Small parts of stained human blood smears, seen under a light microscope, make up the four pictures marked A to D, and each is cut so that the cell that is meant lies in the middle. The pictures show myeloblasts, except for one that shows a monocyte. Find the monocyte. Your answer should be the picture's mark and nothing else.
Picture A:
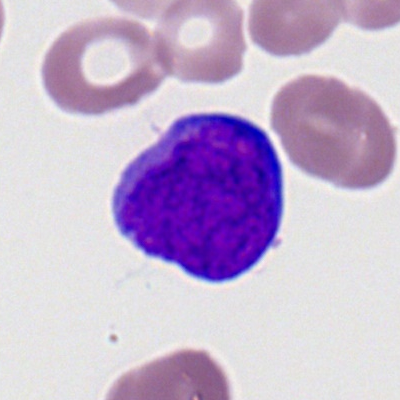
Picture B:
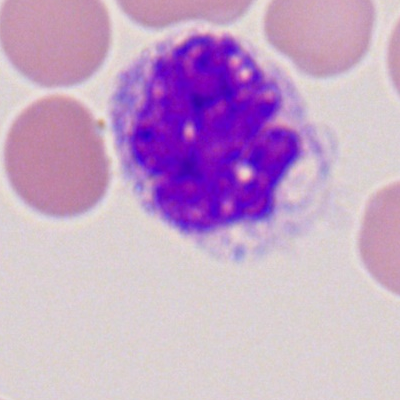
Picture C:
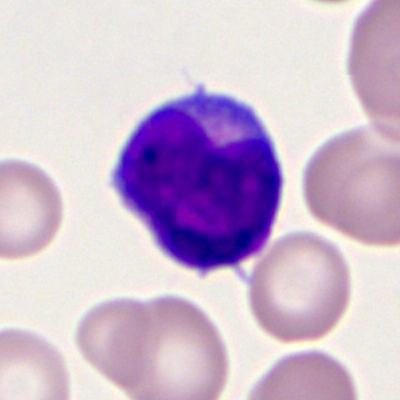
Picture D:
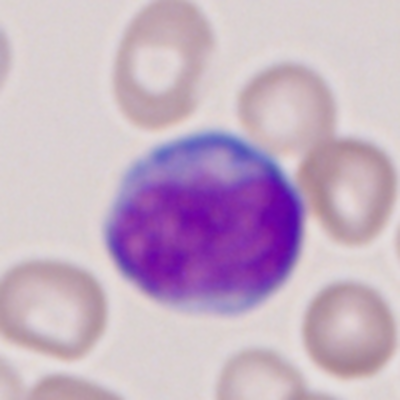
B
